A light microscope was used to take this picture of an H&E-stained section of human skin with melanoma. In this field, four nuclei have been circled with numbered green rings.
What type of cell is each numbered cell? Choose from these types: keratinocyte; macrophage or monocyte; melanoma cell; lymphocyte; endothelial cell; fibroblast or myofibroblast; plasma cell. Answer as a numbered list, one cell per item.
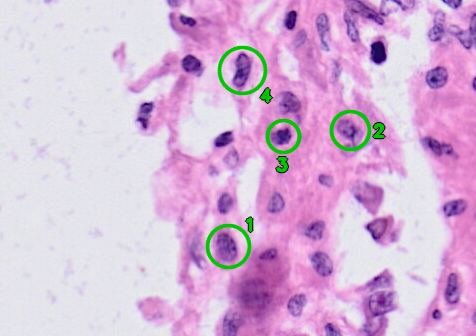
1. macrophage or monocyte
2. macrophage or monocyte
3. lymphocyte
4. macrophage or monocyte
